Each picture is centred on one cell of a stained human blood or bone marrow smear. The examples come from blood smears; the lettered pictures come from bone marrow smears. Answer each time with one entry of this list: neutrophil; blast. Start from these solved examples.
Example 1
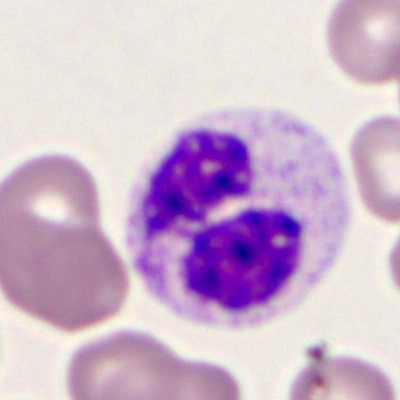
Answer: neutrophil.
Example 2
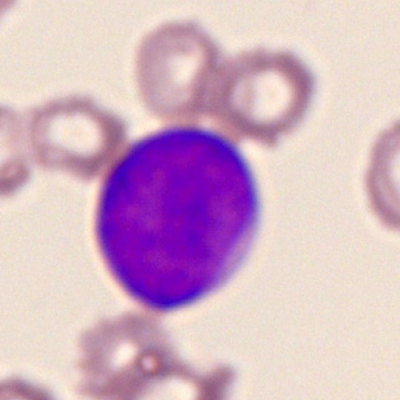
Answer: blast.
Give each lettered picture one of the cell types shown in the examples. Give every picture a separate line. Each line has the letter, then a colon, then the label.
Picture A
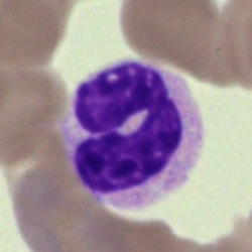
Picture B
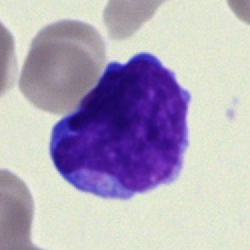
A: neutrophil.
B: blast.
